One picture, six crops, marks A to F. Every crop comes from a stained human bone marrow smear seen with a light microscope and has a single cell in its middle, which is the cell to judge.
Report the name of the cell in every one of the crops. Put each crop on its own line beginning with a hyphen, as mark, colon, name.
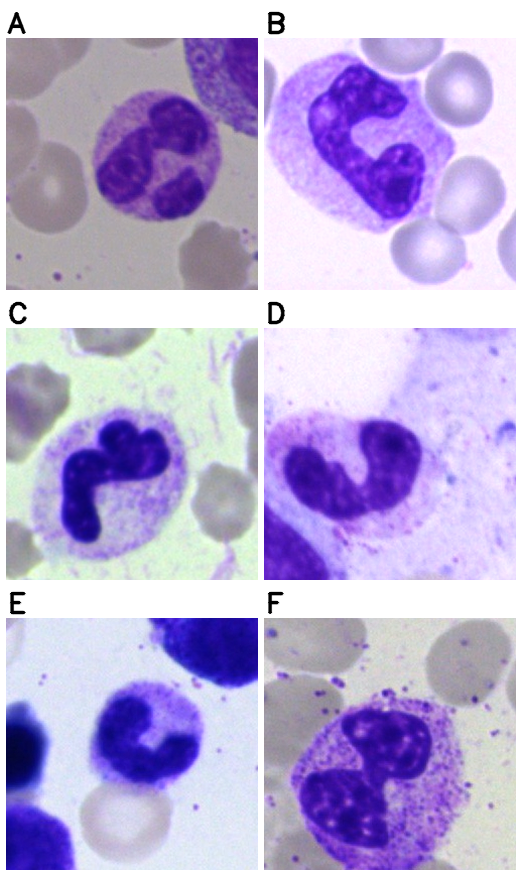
- A: segmented neutrophil
- B: band neutrophil
- C: segmented neutrophil
- D: segmented neutrophil
- E: band neutrophil
- F: segmented neutrophil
